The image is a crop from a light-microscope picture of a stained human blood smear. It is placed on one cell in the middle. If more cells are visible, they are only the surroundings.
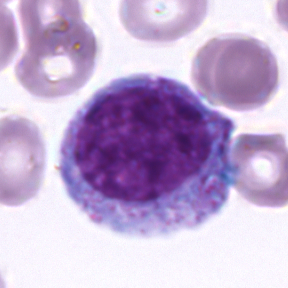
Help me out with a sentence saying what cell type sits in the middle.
The cell marked by its central position in the crop is a promyelocyte.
